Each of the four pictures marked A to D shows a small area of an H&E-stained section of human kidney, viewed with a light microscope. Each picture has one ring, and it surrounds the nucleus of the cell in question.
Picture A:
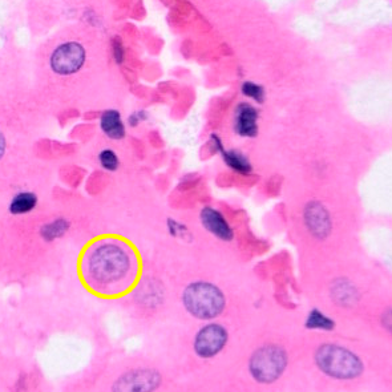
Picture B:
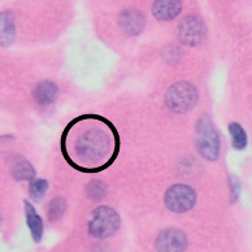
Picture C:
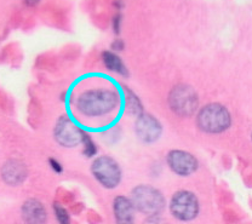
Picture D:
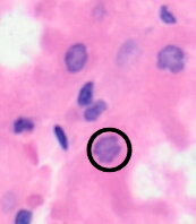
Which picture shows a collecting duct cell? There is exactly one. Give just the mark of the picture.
C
